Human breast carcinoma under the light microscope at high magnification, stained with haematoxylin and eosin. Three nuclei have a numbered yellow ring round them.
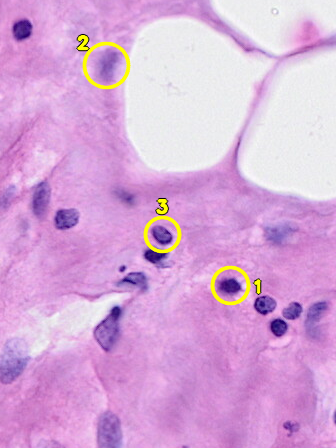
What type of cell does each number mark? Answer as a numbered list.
1. lymphocyte
2. fibroblast
3. lymphocyte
